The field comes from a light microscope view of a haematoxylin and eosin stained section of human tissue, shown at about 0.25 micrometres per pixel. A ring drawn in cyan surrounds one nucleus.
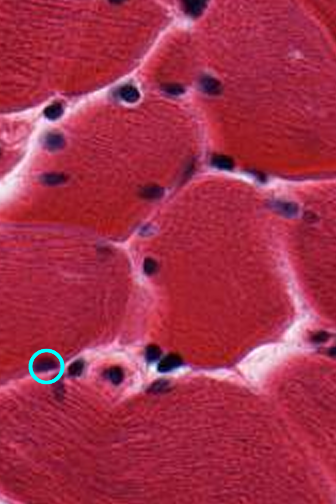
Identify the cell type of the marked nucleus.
skeletal muscle fibre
